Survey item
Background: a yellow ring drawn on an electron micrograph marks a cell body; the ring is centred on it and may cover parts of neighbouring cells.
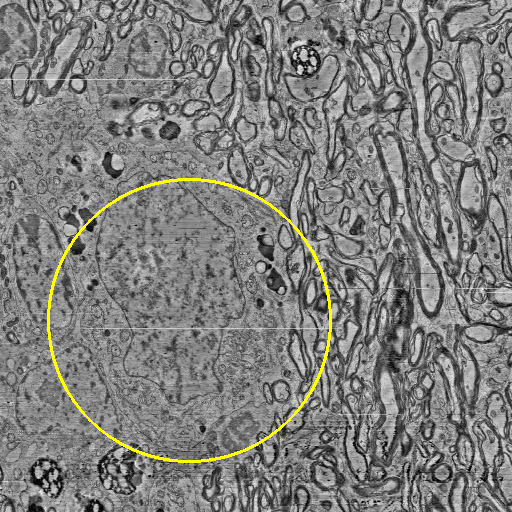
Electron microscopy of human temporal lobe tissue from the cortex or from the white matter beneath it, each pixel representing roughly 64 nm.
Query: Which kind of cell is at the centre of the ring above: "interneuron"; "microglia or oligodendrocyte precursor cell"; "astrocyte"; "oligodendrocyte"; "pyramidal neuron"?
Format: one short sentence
The cell in the middle of the ring is a pyramidal neuron.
